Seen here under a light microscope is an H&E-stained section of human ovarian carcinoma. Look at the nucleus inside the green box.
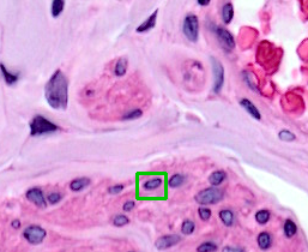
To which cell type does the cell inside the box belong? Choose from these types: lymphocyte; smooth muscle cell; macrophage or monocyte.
smooth muscle cell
